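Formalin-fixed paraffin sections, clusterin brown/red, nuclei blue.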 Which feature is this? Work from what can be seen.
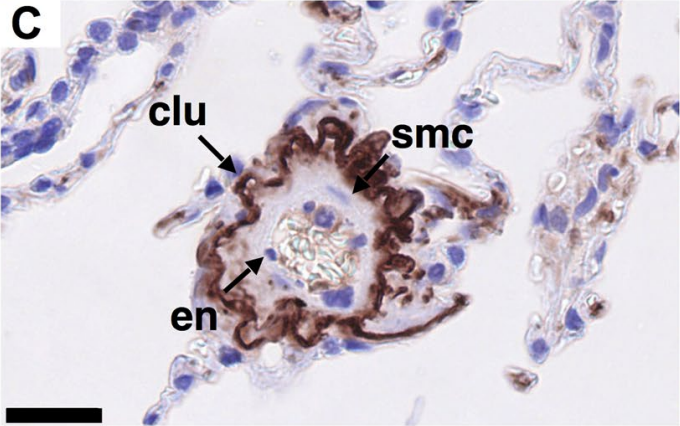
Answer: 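Blood vessels. A rounded structure with a central lumen holding red blood cells. A thick wall ringed by wavy layers, unlike the thin septa around it.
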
